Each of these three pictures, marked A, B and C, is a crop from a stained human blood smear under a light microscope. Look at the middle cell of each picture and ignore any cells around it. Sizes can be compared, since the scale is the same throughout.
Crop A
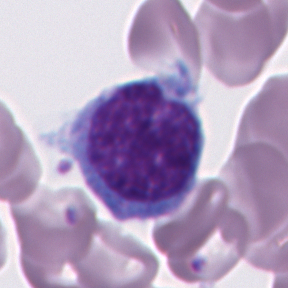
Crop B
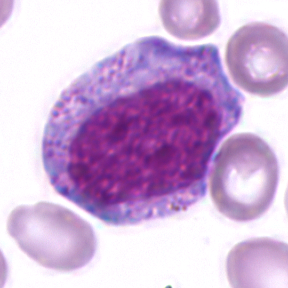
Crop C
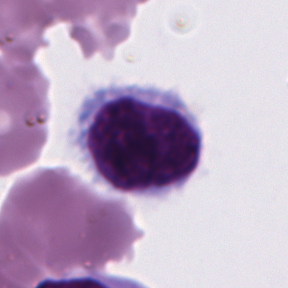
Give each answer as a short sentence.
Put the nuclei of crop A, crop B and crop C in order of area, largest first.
Going down, they run B, A, C.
